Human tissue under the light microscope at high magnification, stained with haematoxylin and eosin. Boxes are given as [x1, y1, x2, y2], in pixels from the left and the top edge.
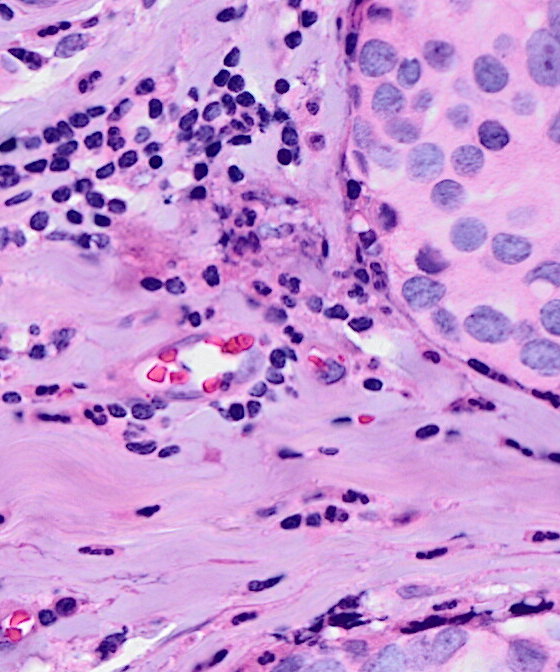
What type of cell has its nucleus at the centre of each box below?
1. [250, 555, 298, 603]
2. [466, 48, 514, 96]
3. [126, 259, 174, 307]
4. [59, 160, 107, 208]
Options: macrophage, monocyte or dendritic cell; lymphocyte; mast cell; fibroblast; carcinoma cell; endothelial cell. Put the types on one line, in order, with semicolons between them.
lymphocyte; carcinoma cell; lymphocyte; lymphocyte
